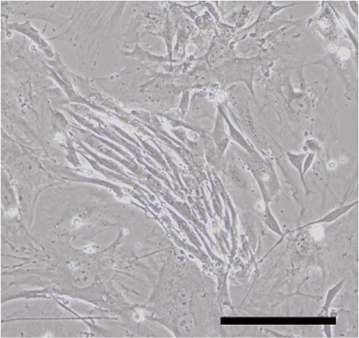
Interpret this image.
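At the centre, a dense group of long, thin, spindle-shaped cells lie close together and run roughly parallel to one another, forming a swirling bundle. Around this group, the cells are fewer and more spread out, with broader, flattened, irregular outlines. A few small, round, bright cells sit scattered across the field.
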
